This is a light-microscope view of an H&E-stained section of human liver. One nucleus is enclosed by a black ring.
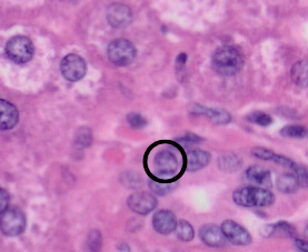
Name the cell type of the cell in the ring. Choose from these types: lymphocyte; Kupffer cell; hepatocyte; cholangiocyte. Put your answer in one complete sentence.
For the purposes of cell typing, the cell in the ring is categorized as a cholangiocyte.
